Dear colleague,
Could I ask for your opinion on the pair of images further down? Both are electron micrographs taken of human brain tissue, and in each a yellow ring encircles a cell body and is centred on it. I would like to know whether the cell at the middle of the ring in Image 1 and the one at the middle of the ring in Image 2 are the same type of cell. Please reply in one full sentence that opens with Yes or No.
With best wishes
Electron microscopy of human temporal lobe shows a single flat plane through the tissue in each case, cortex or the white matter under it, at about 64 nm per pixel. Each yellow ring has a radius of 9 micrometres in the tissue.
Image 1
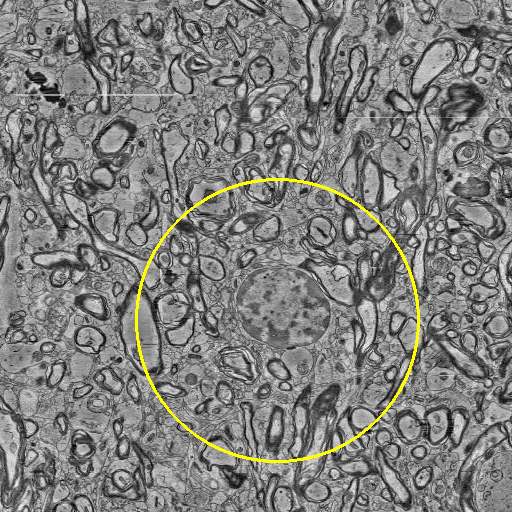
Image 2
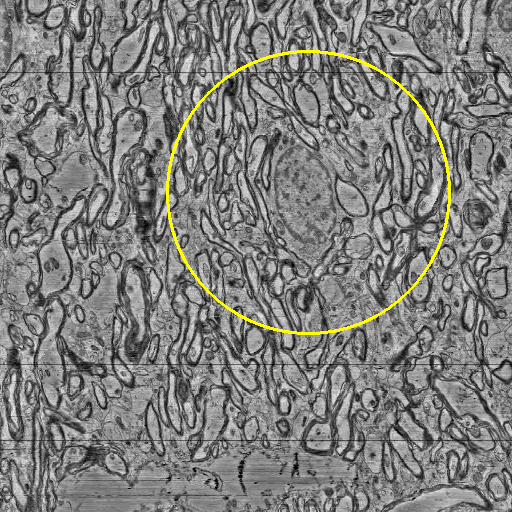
No, the cells at the ring centres in Image 1 and Image 2 are of two types.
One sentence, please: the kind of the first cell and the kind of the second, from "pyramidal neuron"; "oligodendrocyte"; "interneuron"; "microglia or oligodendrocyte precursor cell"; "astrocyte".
The ring in the first picture surrounds a microglial cell or oligodendrocyte precursor cell, and the ring in the second surrounds an oligodendrocyte.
